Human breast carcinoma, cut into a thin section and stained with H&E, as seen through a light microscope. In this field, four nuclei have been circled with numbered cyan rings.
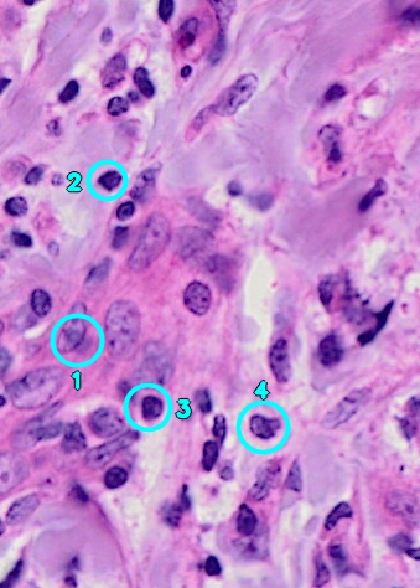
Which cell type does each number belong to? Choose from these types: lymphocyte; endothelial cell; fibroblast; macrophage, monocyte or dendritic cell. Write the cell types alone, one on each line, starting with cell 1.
endothelial cell
lymphocyte
lymphocyte
lymphocyte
